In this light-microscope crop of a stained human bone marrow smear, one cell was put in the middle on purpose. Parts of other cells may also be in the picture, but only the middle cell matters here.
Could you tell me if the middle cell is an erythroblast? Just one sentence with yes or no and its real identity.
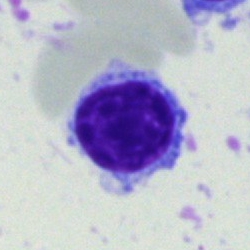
No, the cell in the middle of the crop counts as a lymphocyte and not as an erythroblast.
